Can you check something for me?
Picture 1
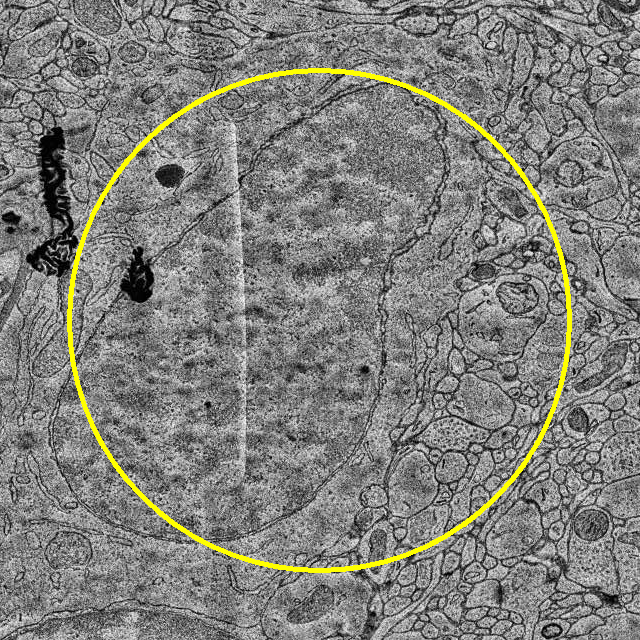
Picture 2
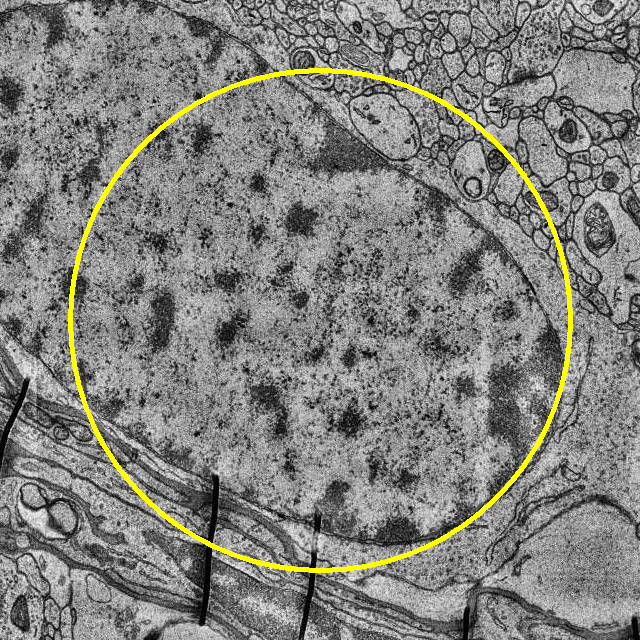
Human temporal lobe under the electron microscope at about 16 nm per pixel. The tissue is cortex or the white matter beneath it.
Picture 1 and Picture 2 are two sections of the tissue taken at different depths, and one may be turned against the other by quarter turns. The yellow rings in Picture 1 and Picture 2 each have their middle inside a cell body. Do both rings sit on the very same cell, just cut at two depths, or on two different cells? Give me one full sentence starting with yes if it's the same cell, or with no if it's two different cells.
Yes, both yellow rings mark one and the same cell.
